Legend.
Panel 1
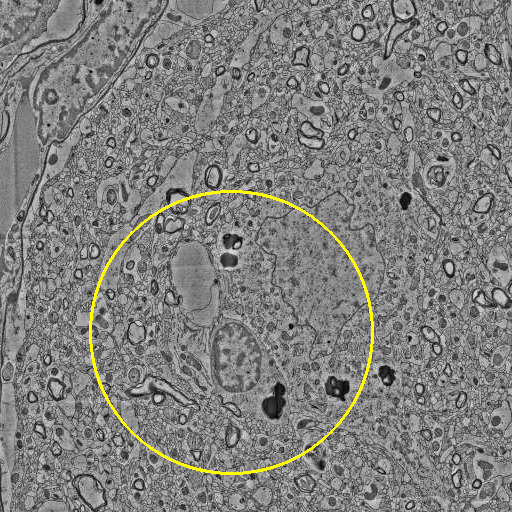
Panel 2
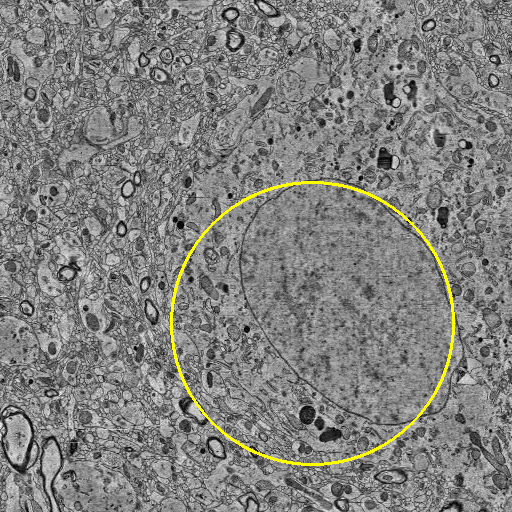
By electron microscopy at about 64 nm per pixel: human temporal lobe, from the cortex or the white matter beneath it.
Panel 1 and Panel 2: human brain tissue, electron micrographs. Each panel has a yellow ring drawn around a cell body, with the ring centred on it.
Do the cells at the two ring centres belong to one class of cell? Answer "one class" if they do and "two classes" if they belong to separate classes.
two classes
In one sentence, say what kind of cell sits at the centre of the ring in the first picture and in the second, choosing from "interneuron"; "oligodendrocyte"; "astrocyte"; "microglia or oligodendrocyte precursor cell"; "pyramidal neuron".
The first picture's ringed cell is an oligodendrocyte, while the second picture's is a pyramidal neuron.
